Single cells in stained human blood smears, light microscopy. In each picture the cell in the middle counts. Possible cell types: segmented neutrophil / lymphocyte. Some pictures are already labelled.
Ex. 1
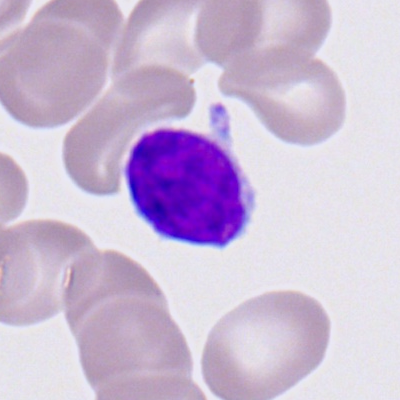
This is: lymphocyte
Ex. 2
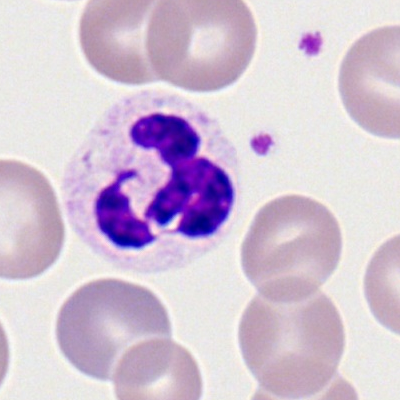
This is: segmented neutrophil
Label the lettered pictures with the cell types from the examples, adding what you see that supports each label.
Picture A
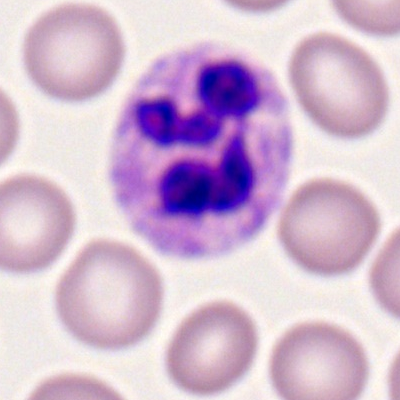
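segmented neutrophil: The nucleus is divided into several separate lobes.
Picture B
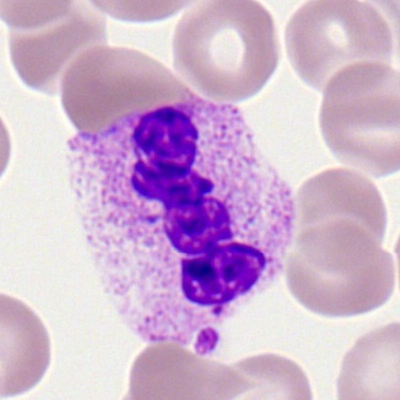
segmented neutrophil: The cytoplasm is plentiful and pale pinkish-lilac.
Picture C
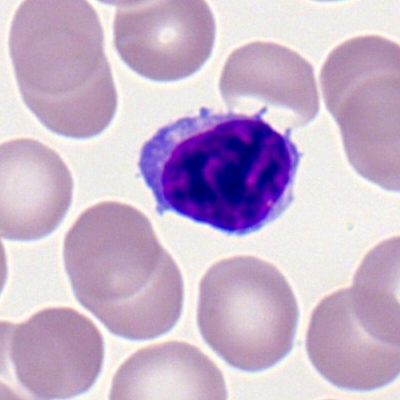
lymphocyte: The cytoplasm is scant, forming a narrow rim that is widest on the left side of the nucleus.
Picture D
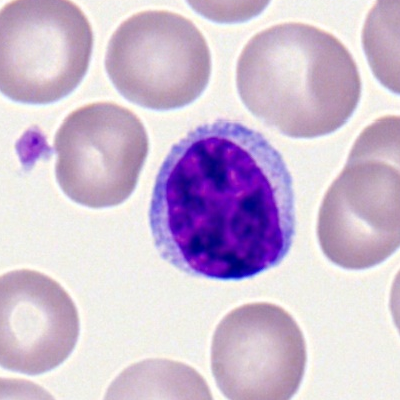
lymphocyte: The nucleus fills most of the cell.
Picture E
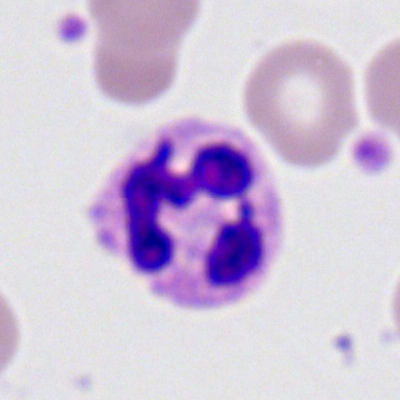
segmented neutrophil: The cytoplasm is plentiful and pale pinkish-lilac.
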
